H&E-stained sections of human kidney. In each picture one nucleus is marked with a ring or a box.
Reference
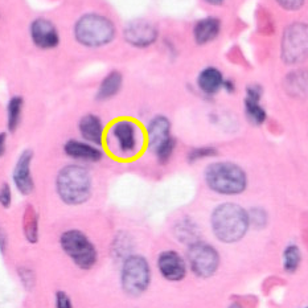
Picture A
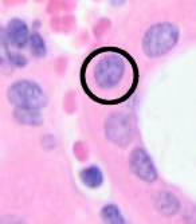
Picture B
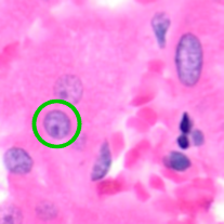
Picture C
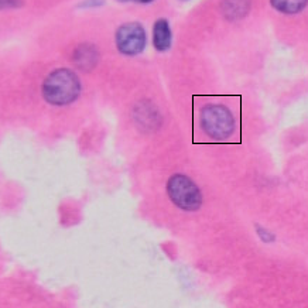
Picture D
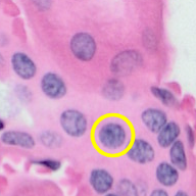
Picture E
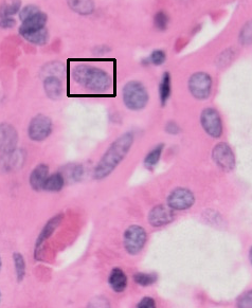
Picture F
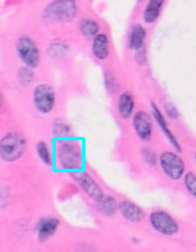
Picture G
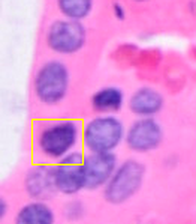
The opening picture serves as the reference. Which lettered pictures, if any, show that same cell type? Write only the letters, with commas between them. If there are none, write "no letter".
A, D, E, F, G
